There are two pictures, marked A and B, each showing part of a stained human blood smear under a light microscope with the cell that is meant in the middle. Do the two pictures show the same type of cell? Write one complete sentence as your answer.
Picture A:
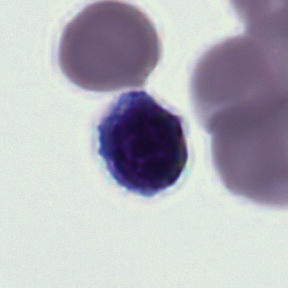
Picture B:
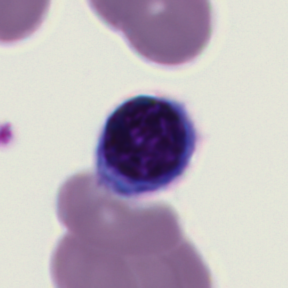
Yes, they are the same type: both are plasma cells.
